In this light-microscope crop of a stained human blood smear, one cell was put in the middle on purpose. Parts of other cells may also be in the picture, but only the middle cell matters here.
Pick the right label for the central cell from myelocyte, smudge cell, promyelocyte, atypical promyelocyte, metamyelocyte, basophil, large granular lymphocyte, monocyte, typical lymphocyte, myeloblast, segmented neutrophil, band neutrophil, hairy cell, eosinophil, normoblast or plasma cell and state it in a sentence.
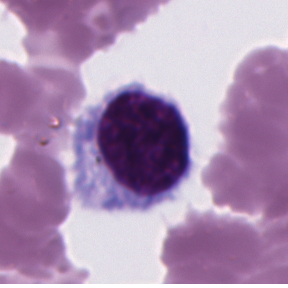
The central cell shown in this smear crop is a hairy cell.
